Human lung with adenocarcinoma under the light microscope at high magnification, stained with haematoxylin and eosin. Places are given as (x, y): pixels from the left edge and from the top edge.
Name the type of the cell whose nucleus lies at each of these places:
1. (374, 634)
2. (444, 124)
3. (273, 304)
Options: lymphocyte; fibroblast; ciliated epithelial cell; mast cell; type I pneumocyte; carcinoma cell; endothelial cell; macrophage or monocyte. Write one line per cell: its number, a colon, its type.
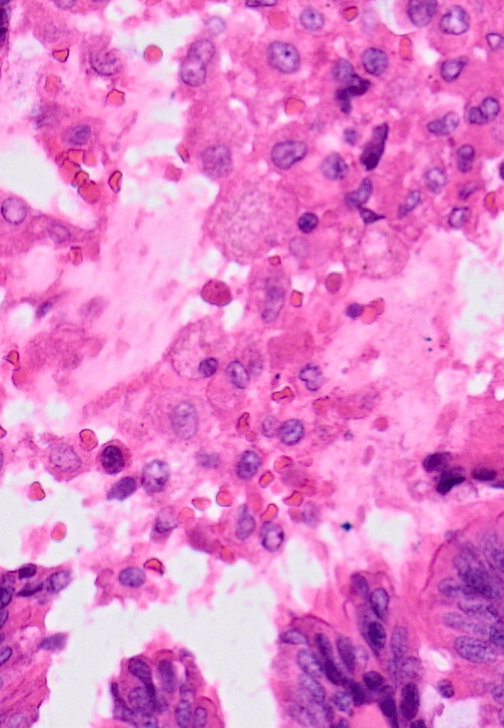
1: ciliated epithelial cell
2: macrophage or monocyte
3: macrophage or monocyte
